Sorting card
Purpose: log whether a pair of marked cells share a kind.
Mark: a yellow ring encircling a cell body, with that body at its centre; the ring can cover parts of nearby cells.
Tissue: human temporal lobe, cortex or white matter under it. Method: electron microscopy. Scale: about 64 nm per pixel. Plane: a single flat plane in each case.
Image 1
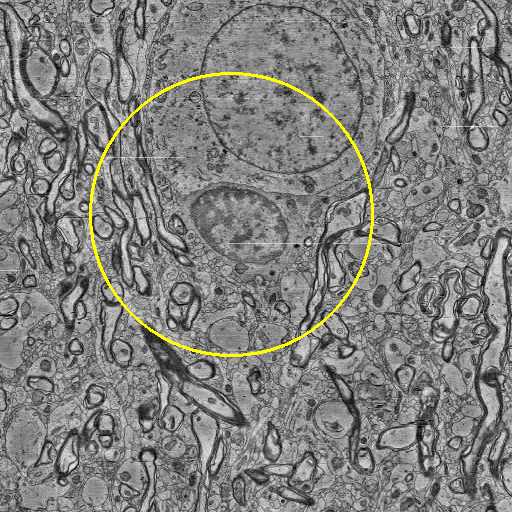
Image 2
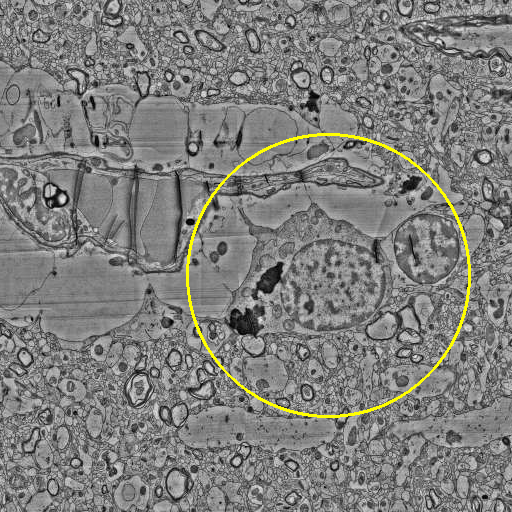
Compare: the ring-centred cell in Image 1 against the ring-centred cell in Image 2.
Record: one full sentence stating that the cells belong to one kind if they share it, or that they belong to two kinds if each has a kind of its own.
Across Images 1 and 2, the two ring-centred cells belong to one kind.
